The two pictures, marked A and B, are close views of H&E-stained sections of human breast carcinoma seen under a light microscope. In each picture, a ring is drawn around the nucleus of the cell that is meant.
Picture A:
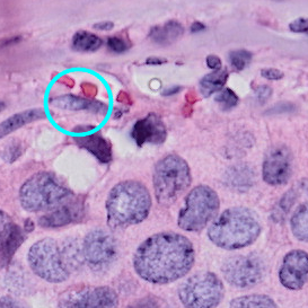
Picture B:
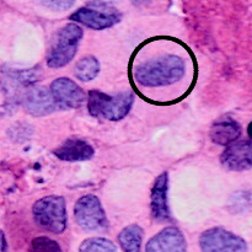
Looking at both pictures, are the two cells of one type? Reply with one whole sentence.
No, the types are not the same, since picture A shows an endothelial cell and picture B a carcinoma cell.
